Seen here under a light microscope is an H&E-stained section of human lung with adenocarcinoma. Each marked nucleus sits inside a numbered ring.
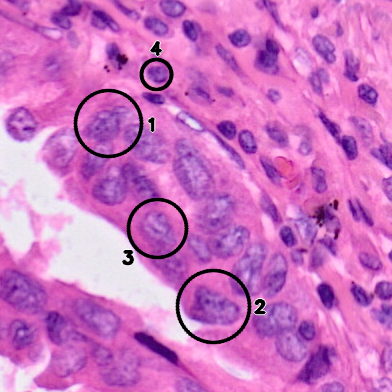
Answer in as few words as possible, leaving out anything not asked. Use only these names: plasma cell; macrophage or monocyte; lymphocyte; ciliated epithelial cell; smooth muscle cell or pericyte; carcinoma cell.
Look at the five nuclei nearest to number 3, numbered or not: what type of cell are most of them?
carcinoma cell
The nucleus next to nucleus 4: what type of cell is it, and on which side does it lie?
a lymphocyte; below nucleus 4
